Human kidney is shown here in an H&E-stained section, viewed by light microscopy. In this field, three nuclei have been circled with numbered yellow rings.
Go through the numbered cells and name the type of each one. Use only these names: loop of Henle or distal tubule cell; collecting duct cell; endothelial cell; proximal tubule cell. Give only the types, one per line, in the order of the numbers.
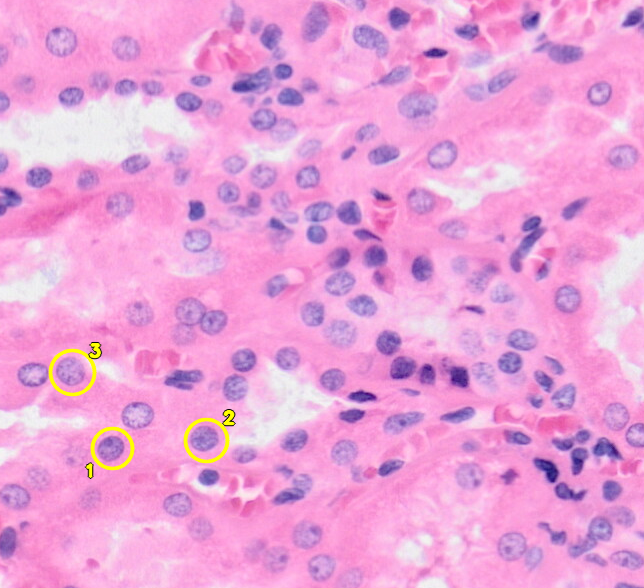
proximal tubule cell
loop of Henle or distal tubule cell
proximal tubule cell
